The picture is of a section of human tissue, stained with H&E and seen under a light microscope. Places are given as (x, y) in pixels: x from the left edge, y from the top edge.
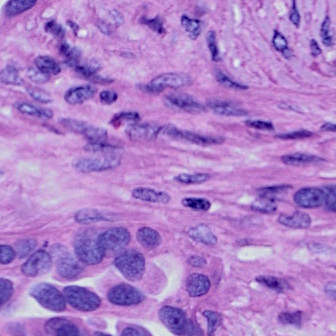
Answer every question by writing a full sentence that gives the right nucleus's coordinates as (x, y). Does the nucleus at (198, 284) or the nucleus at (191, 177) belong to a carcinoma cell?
Of the two nuclei, the nucleus belonging to a carcinoma cell is located at (198, 284).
